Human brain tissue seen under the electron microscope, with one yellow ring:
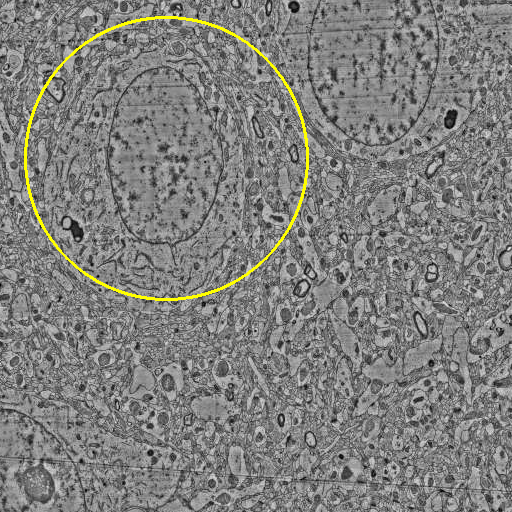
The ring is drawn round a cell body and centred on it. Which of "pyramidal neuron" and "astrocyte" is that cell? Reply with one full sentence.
The picture shows a pyramidal neuron at the very centre of the yellow ring.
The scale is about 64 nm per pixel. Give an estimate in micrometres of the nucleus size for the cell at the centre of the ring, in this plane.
In this plane the nucleus spans approximately 11 by 8 micrometers.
